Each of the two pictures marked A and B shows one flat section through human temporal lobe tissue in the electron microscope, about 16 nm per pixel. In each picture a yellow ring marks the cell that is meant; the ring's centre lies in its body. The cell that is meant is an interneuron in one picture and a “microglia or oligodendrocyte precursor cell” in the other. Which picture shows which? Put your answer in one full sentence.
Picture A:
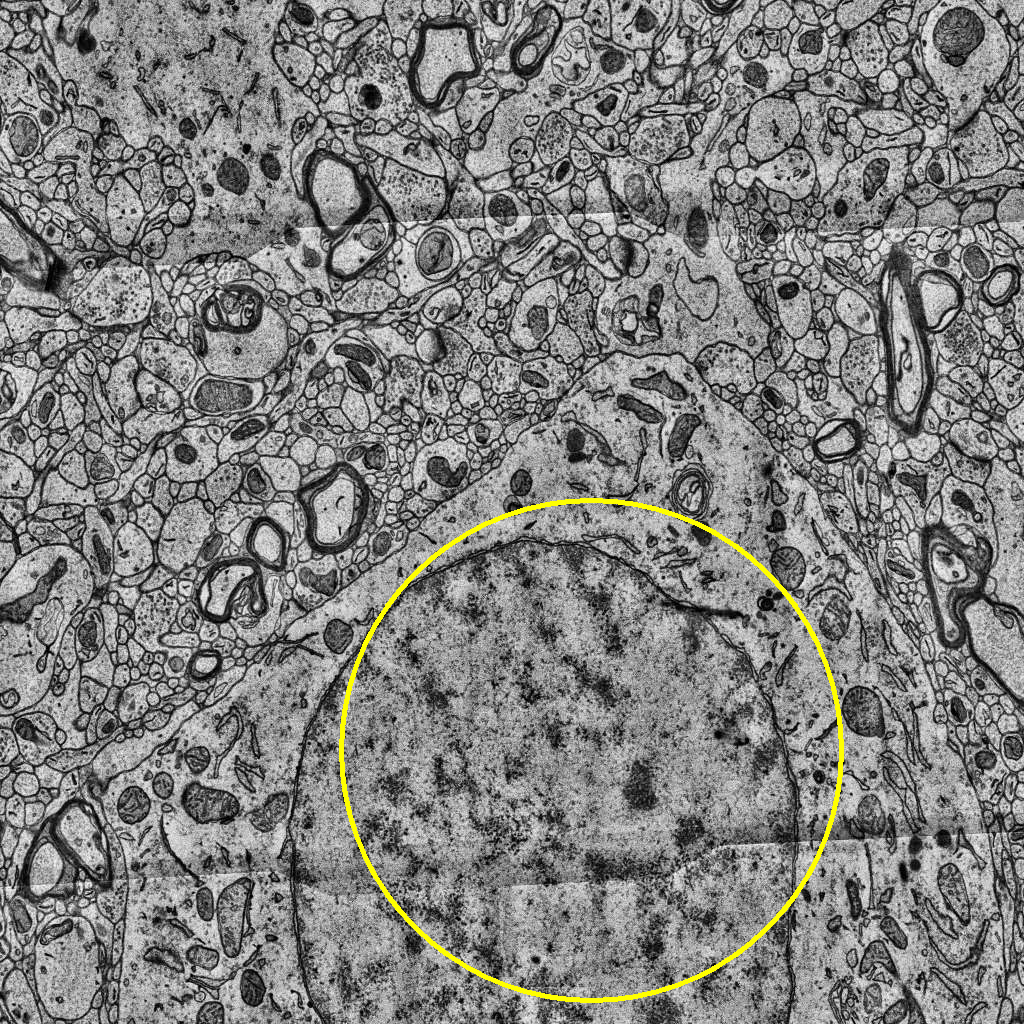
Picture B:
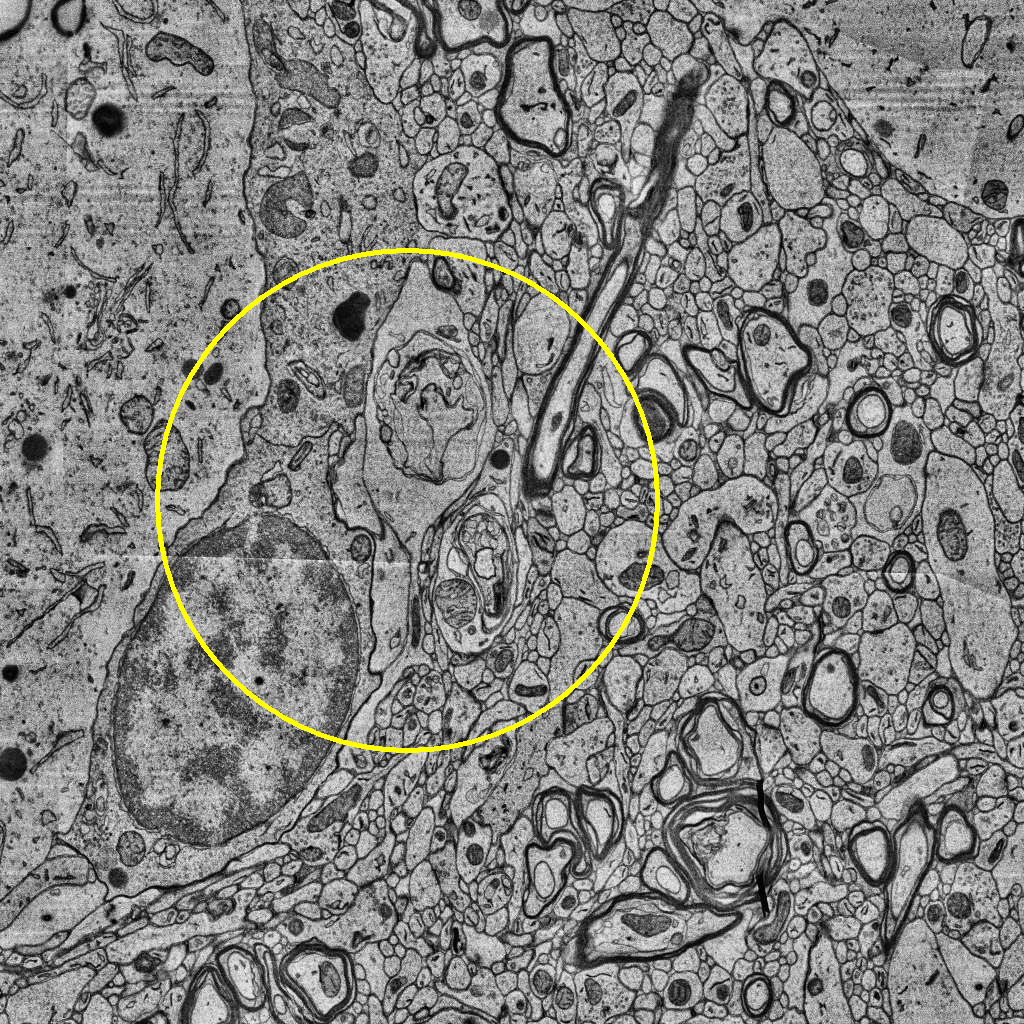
Picture A shows an interneuron and picture B shows a “microglia or oligodendrocyte precursor cell”.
